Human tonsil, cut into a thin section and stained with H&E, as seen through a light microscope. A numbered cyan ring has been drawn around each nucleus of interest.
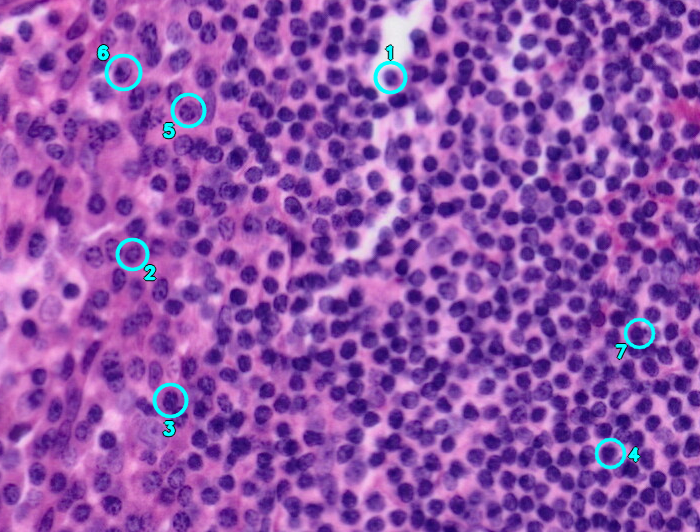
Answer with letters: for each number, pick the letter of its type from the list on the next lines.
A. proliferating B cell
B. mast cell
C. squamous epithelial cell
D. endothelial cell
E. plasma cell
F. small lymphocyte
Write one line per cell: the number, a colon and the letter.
1: F
2: E
3: E
4: F
5: E
6: E
7: F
